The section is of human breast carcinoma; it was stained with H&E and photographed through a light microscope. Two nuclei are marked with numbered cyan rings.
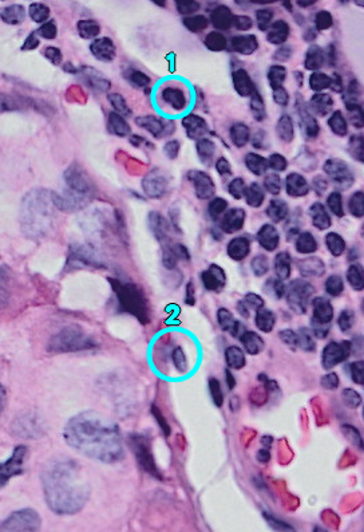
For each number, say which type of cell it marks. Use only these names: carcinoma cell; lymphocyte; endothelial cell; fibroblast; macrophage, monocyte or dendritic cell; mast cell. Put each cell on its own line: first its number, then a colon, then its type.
1: lymphocyte
2: endothelial cell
